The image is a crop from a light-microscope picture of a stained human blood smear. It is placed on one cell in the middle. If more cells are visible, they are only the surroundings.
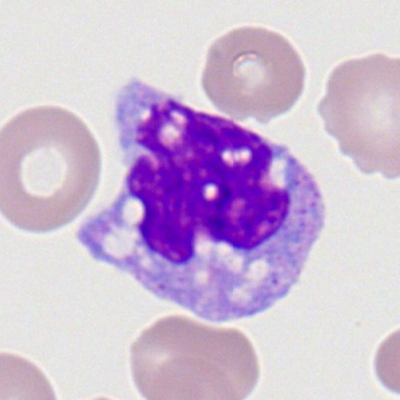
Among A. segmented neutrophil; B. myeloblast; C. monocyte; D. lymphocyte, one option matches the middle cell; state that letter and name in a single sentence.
The centrally located cell is a monocyte, making option C the correct choice.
